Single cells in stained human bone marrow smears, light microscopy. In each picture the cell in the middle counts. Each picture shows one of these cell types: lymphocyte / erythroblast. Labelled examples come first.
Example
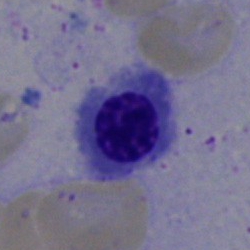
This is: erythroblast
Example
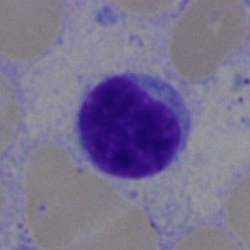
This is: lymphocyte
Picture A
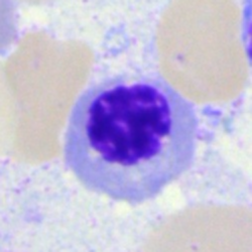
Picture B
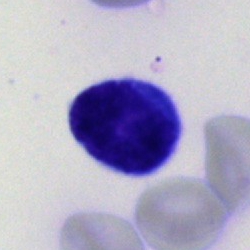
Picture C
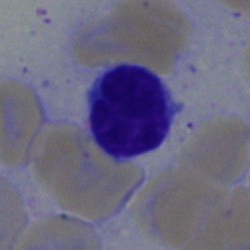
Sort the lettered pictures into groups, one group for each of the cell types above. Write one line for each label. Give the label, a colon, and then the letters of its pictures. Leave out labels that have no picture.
lymphocyte: B, C
erythroblast: A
